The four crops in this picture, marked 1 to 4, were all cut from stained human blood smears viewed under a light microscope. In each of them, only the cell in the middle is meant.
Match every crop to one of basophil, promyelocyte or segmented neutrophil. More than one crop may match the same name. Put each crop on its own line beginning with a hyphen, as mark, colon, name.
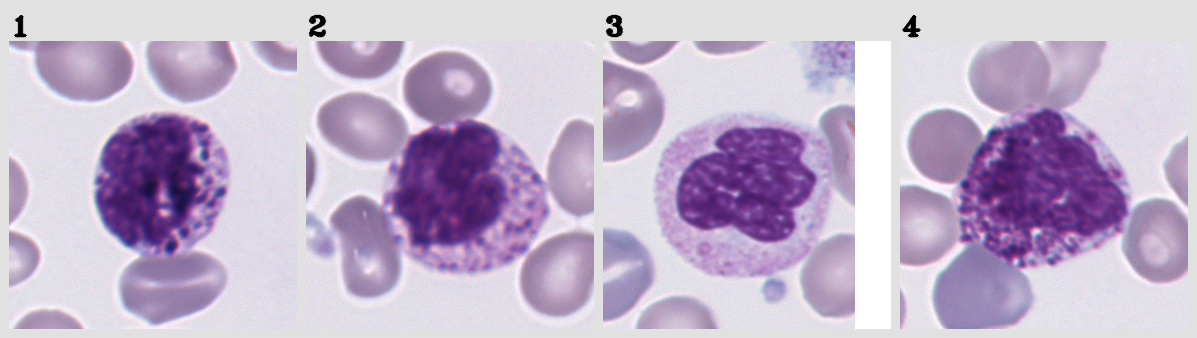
- 1: basophil
- 2: basophil
- 3: segmented neutrophil
- 4: basophil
